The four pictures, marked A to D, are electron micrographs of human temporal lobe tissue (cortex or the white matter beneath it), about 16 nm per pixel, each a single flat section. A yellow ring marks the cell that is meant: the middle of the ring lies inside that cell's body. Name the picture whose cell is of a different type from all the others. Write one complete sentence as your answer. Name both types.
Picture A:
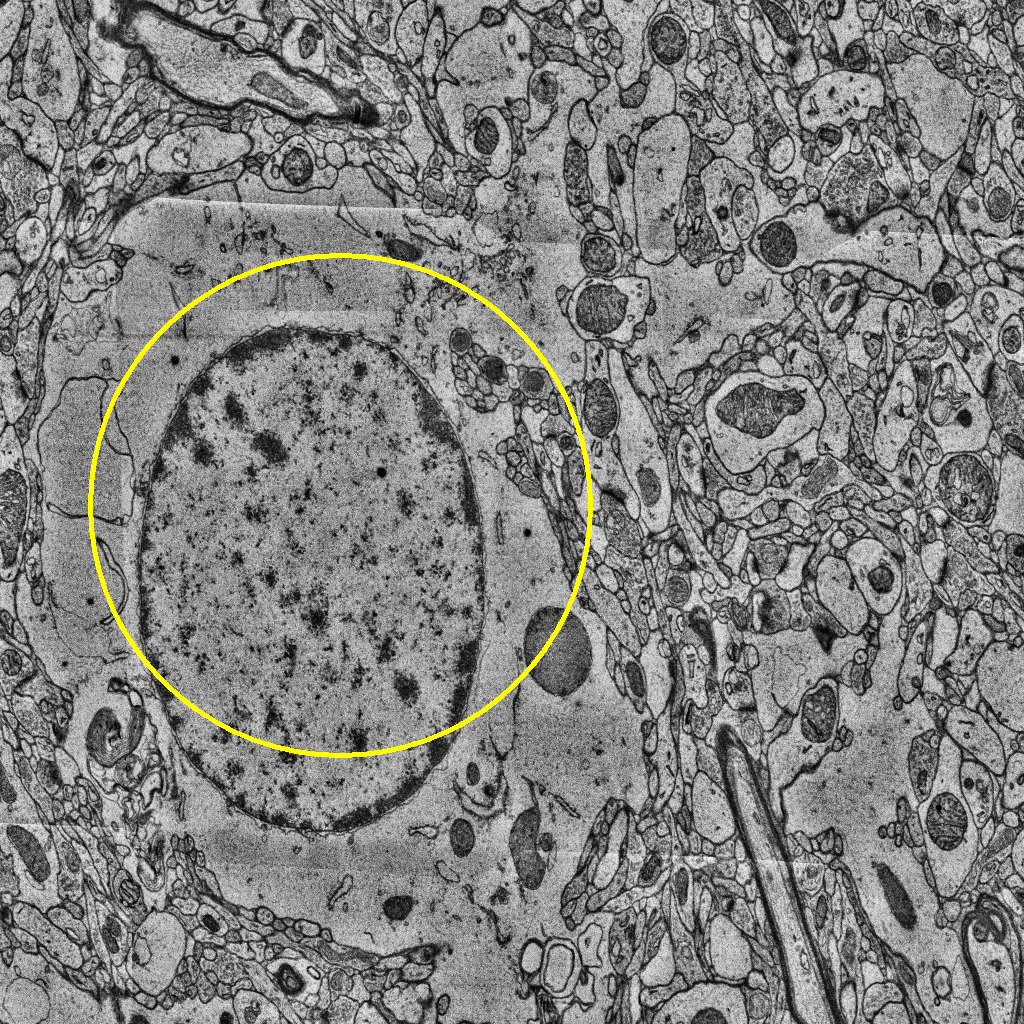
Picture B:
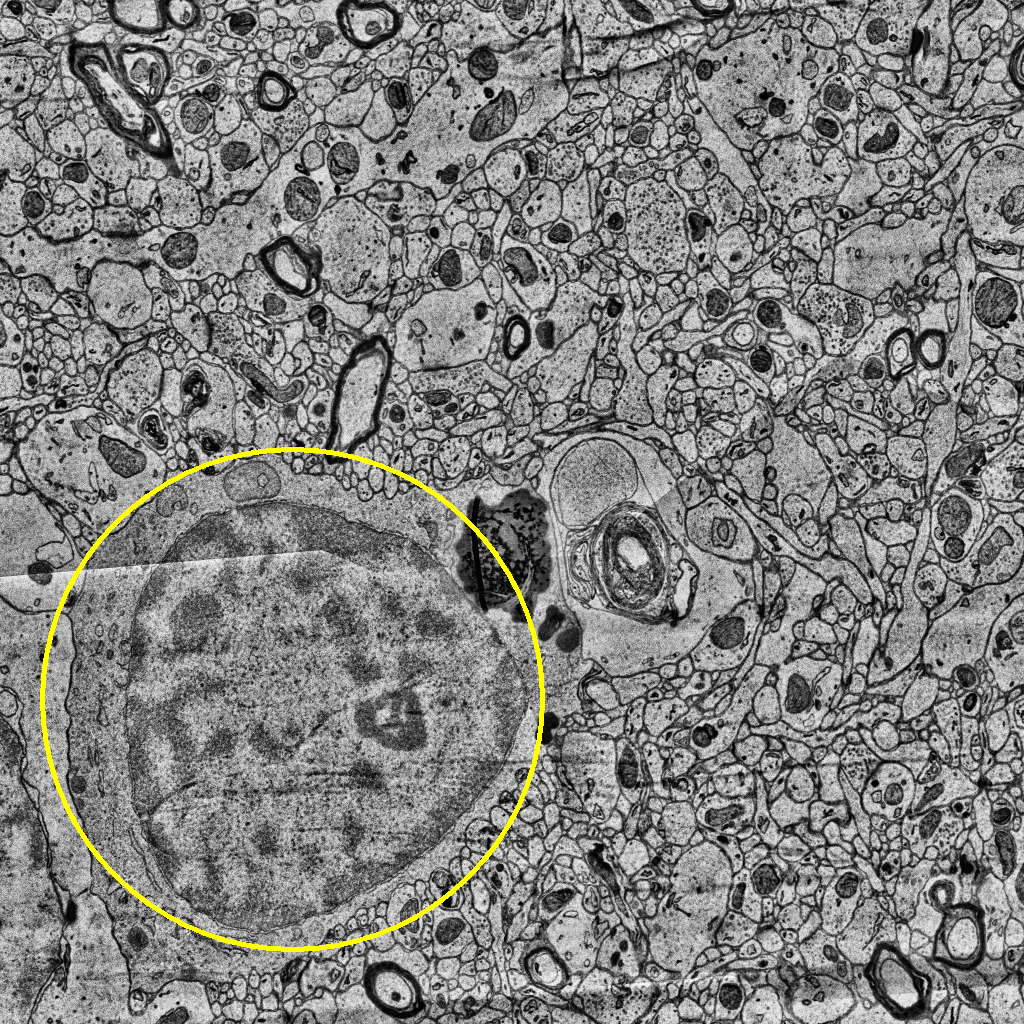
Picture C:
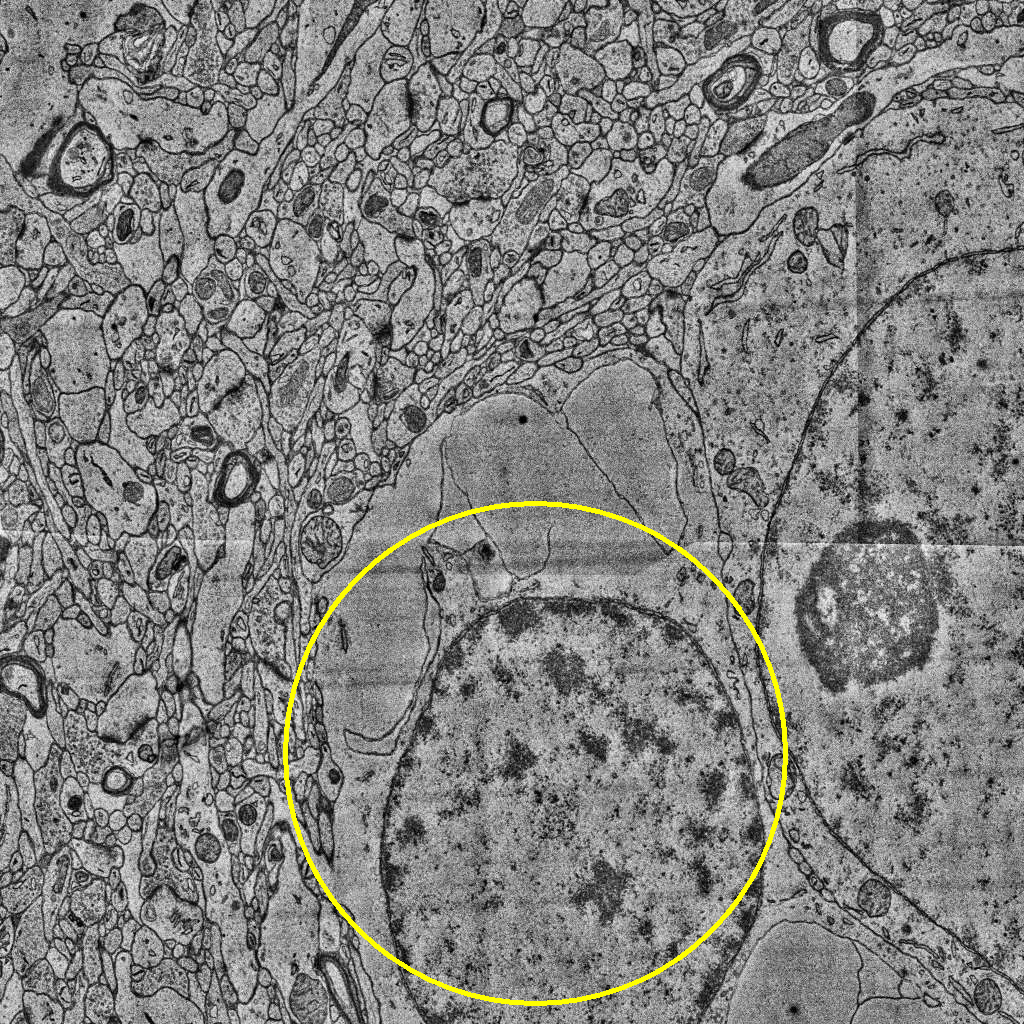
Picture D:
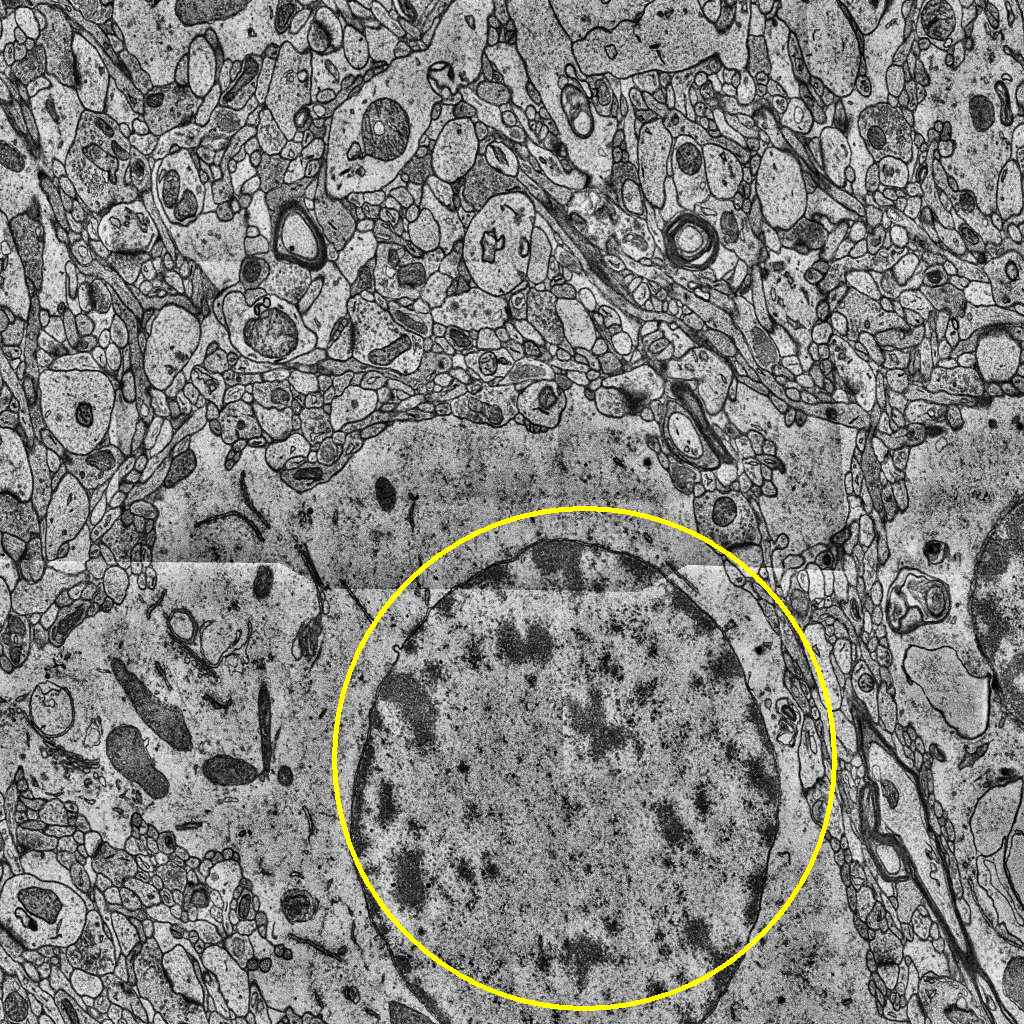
All pictures except B show astrocytes; picture B shows an oligodendrocyte.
